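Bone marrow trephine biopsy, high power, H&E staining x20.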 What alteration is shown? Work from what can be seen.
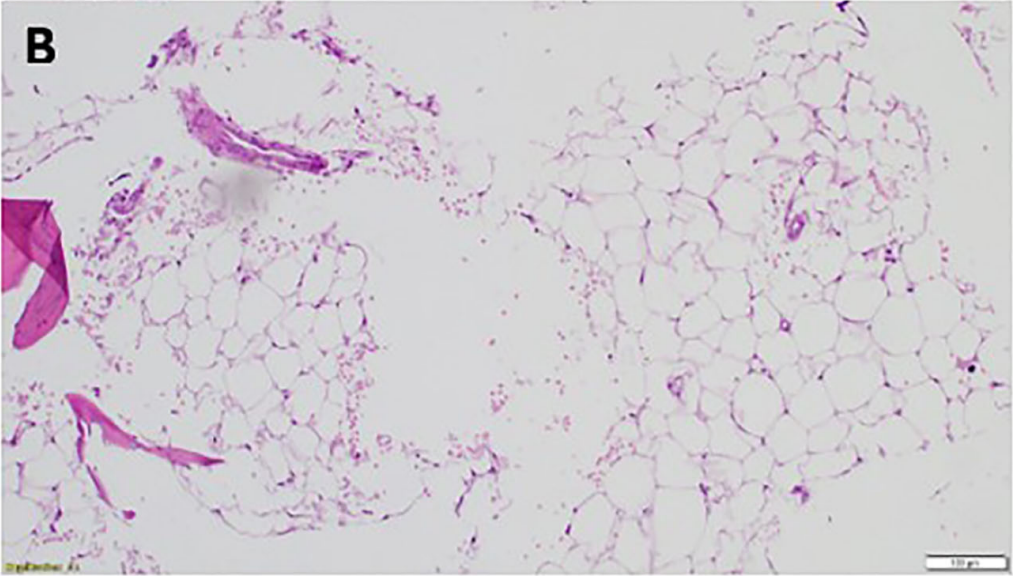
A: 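Large, empty, polygonal vacuoles with thin walls fill the space next to pink bone fragments. The vacuoles are packed closely like a honeycomb. Only a few small dark nuclei lie in the thin walls between the vacuoles. On this evidence: fatty replaced intertrabecular spaces.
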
